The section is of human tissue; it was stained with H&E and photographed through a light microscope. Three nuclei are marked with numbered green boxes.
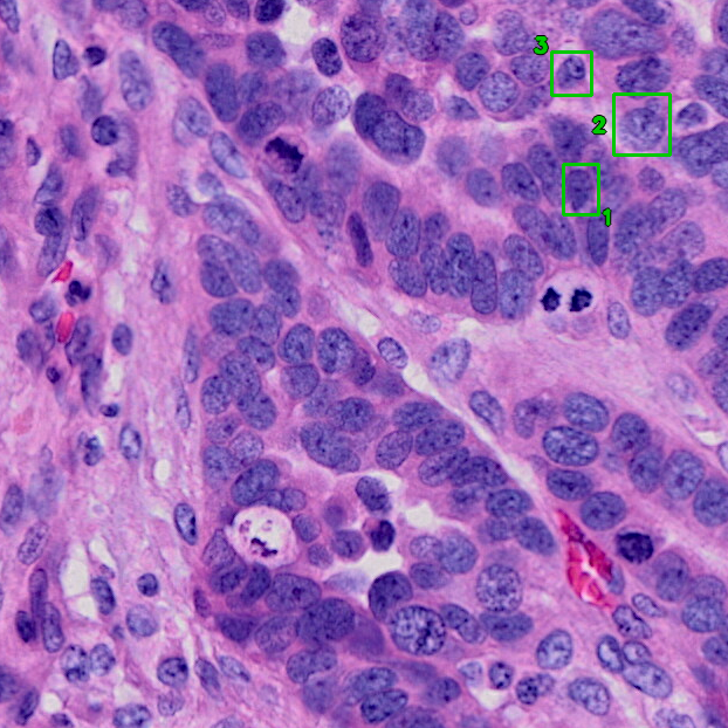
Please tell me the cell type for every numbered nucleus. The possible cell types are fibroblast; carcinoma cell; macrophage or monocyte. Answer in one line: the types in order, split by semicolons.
carcinoma cell; carcinoma cell; macrophage or monocyte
